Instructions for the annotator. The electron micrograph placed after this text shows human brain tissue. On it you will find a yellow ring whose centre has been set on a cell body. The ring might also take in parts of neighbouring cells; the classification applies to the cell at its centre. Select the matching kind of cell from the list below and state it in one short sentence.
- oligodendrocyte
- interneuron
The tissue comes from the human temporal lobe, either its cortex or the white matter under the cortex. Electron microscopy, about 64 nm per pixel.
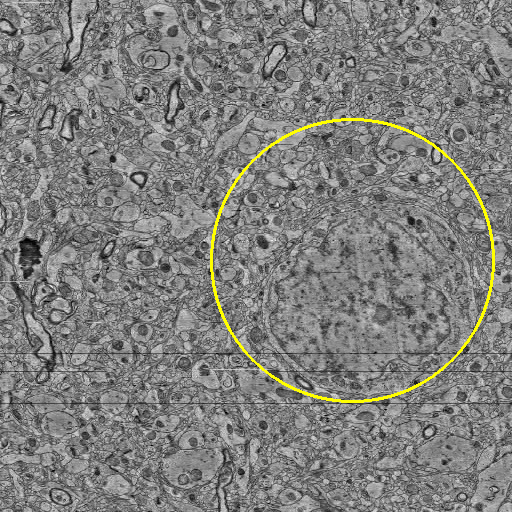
The ring is drawn on the cell body of an interneuron.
